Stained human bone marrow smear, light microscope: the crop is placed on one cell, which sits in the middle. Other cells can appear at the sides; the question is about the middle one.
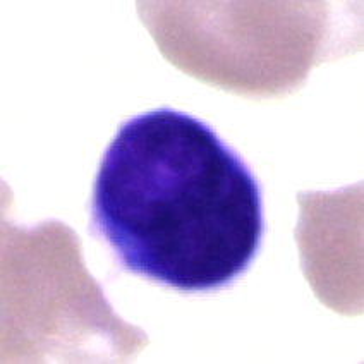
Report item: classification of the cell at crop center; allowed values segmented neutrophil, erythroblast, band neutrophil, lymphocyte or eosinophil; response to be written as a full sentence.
The target cell in the middle of the crop is a lymphocyte.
